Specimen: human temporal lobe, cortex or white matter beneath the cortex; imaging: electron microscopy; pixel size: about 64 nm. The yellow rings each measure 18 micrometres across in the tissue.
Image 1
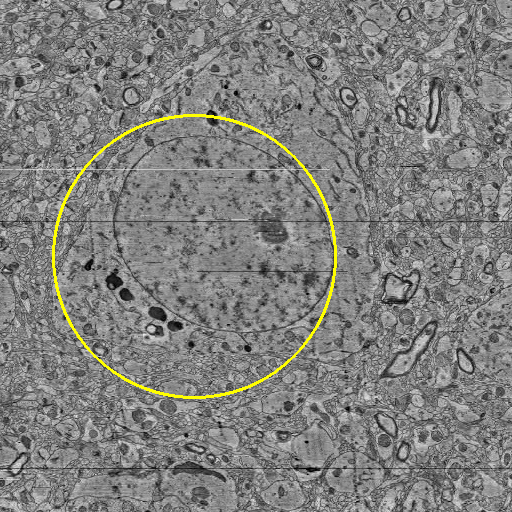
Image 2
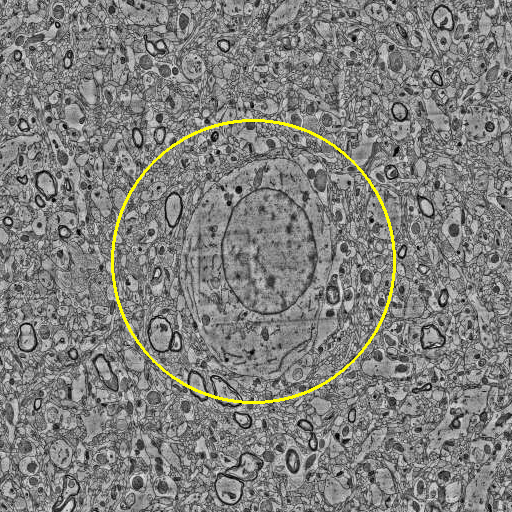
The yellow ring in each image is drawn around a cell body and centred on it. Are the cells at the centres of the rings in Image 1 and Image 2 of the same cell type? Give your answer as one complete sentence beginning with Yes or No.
Yes, both cells are of the same type.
